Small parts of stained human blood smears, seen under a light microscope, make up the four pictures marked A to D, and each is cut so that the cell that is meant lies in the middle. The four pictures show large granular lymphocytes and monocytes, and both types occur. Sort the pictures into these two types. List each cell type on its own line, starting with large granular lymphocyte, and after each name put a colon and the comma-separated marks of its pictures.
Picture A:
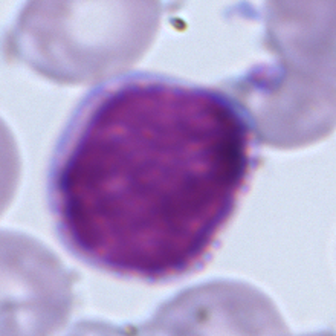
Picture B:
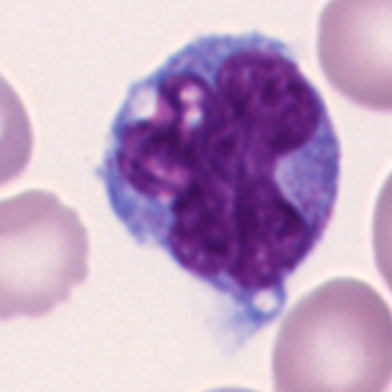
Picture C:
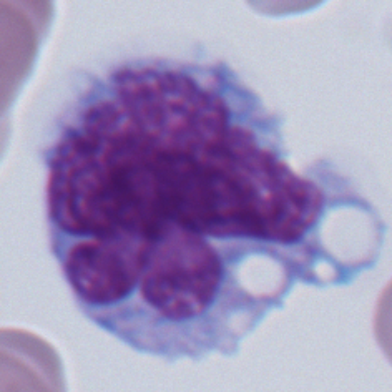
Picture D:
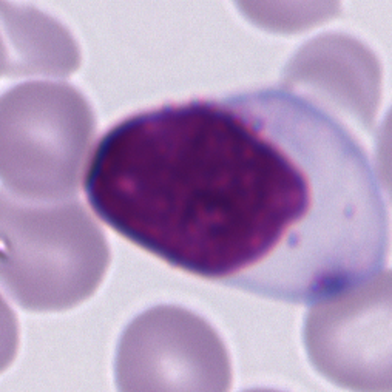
large granular lymphocyte: A, D
monocyte: B, C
